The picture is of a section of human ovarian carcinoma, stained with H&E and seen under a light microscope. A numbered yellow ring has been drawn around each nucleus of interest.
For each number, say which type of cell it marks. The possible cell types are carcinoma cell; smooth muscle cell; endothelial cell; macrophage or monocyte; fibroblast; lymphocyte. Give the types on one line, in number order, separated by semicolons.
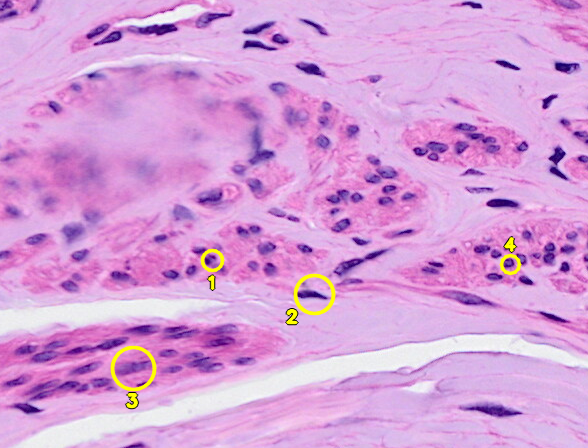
smooth muscle cell; fibroblast; smooth muscle cell; smooth muscle cell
